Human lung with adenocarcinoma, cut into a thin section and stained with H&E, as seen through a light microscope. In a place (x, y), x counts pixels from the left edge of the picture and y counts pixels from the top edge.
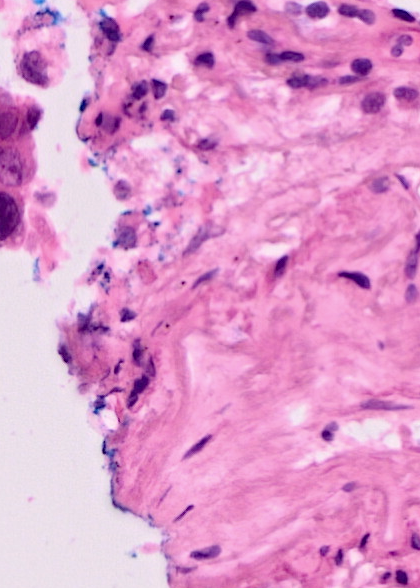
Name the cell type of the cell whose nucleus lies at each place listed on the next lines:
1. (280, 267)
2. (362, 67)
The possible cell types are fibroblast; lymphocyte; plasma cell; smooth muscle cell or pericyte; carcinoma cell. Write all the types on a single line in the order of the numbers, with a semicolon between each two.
smooth muscle cell or pericyte; lymphocyte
